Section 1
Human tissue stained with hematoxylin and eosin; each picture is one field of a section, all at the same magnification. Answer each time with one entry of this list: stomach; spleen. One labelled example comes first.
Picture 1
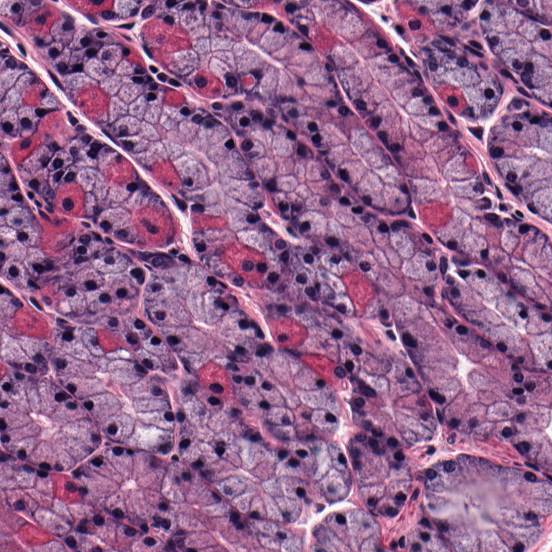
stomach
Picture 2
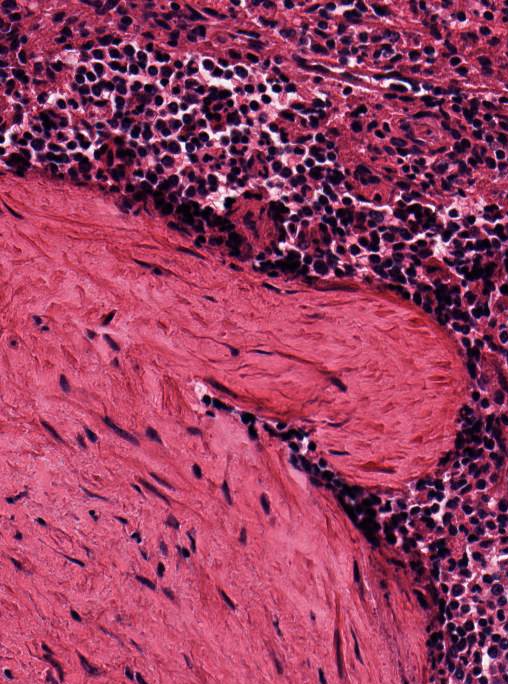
spleen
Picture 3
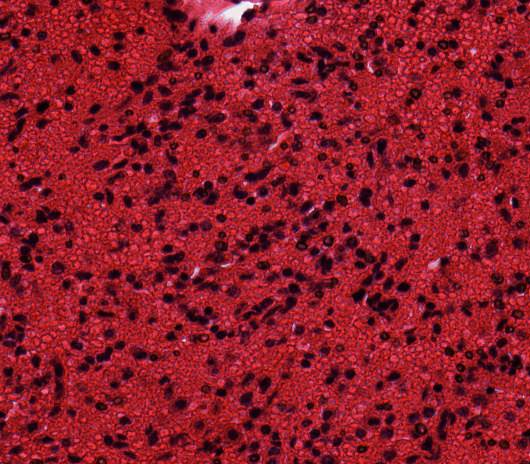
spleen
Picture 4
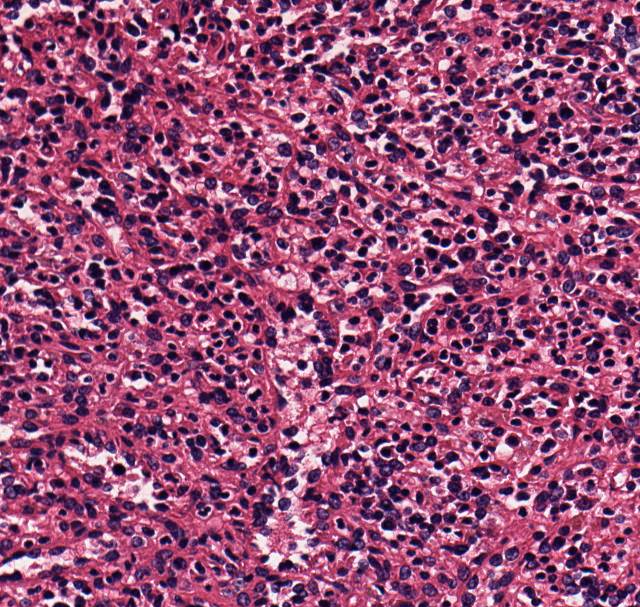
spleen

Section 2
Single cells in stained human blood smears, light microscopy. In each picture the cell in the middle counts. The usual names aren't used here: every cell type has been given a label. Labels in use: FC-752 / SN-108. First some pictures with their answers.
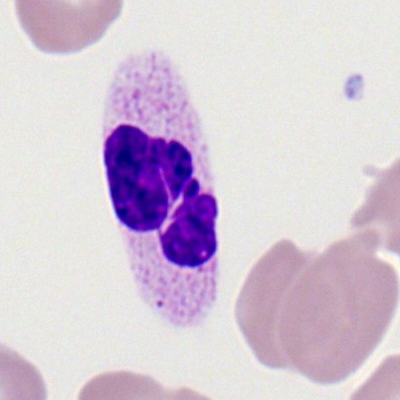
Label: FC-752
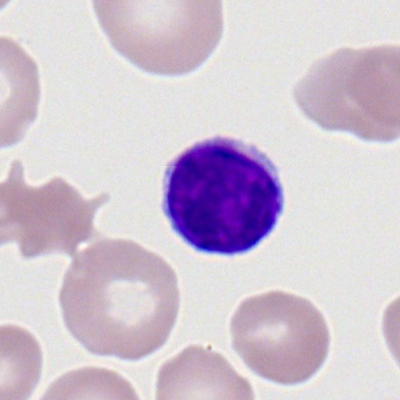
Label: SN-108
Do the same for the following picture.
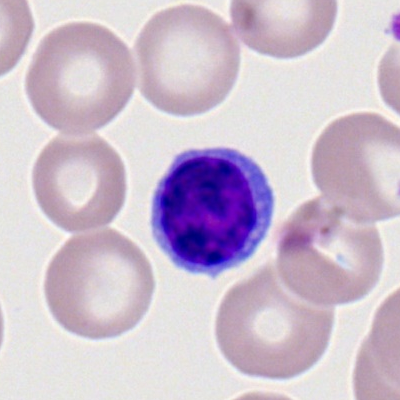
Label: SN-108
